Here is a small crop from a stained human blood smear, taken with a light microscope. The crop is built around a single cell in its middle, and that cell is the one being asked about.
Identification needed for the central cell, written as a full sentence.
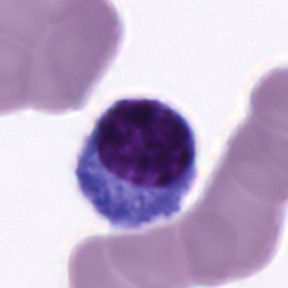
Positioned in the middle of the crop is a plasma cell.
